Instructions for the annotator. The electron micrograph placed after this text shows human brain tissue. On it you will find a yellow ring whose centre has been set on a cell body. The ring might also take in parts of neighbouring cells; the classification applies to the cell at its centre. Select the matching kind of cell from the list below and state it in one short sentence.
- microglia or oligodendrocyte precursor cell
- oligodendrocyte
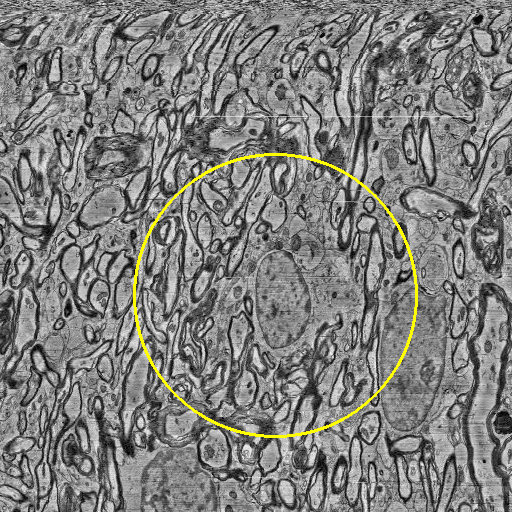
The ring is drawn on the cell body of a microglial cell or oligodendrocyte precursor cell.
